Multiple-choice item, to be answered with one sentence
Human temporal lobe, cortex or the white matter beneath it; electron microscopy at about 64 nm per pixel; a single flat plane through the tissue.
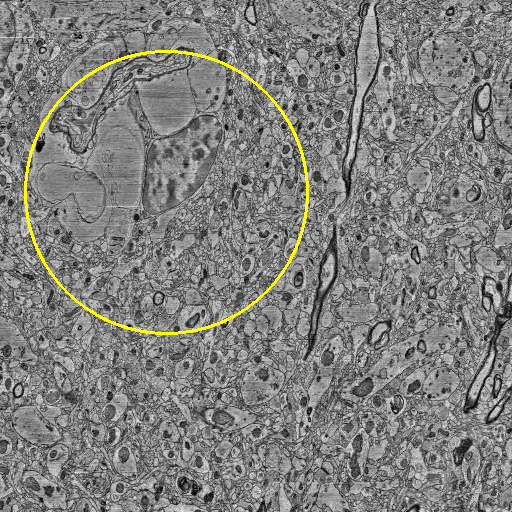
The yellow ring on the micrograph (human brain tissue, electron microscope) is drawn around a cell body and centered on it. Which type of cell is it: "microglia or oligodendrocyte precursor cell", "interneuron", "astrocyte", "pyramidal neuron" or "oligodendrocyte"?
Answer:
The ring is centered on a microglial cell or oligodendrocyte precursor cell.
